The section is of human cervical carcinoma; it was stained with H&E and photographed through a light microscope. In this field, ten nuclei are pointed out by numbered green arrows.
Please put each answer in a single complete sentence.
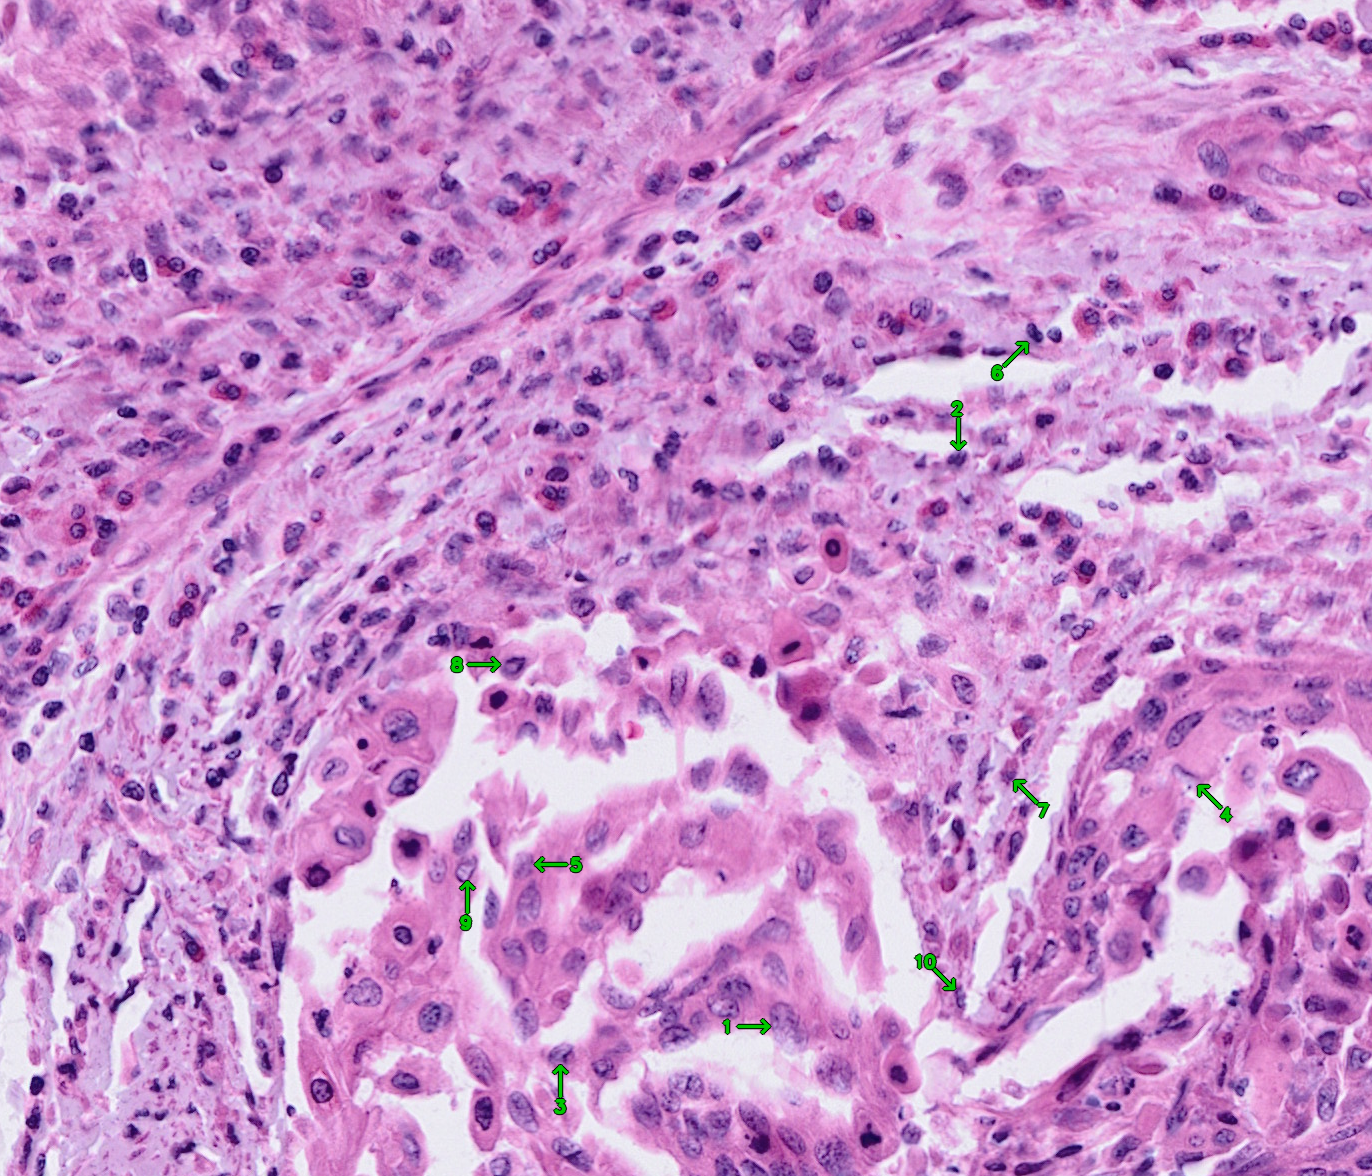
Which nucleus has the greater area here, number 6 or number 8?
Nucleus 8 is larger, with an area about 2 times that of nucleus 6.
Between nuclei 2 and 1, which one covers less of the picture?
The smaller nucleus is 2, and 1 covers roughly 4 times its area.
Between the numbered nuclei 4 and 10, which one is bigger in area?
Number 4 is larger; its area is about 1.5 times that of number 10.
